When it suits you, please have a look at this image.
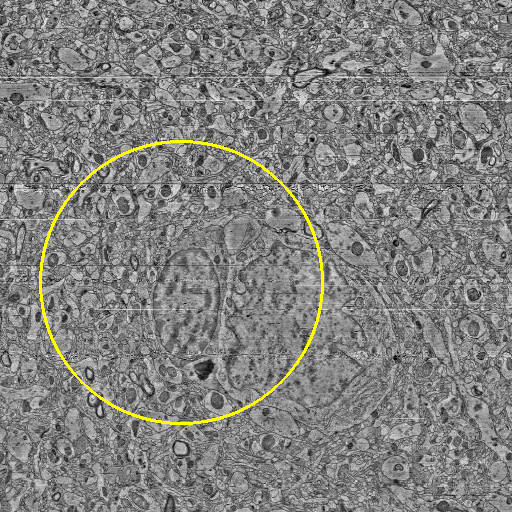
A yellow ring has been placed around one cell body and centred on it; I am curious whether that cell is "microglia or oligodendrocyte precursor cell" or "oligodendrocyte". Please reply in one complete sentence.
The ringed cell, an oligodendrocyte, has its body at the centre of the yellow ring.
